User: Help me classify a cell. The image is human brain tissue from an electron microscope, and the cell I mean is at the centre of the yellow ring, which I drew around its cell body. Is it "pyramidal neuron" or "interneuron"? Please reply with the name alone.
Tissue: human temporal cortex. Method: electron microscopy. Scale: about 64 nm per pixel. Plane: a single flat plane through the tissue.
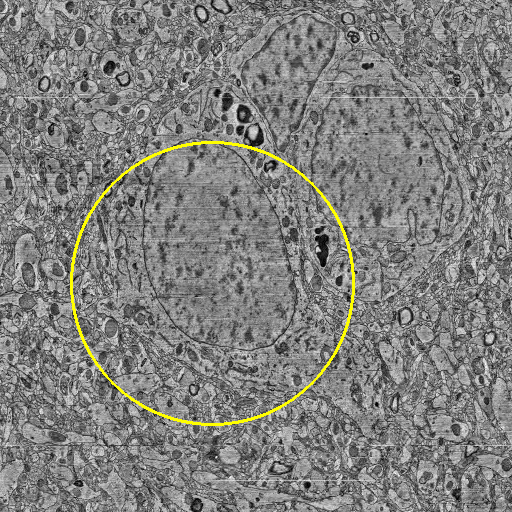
pyramidal neuron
